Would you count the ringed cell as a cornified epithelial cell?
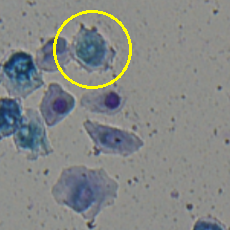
No, I would count it as a nucleated epithelial cell.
